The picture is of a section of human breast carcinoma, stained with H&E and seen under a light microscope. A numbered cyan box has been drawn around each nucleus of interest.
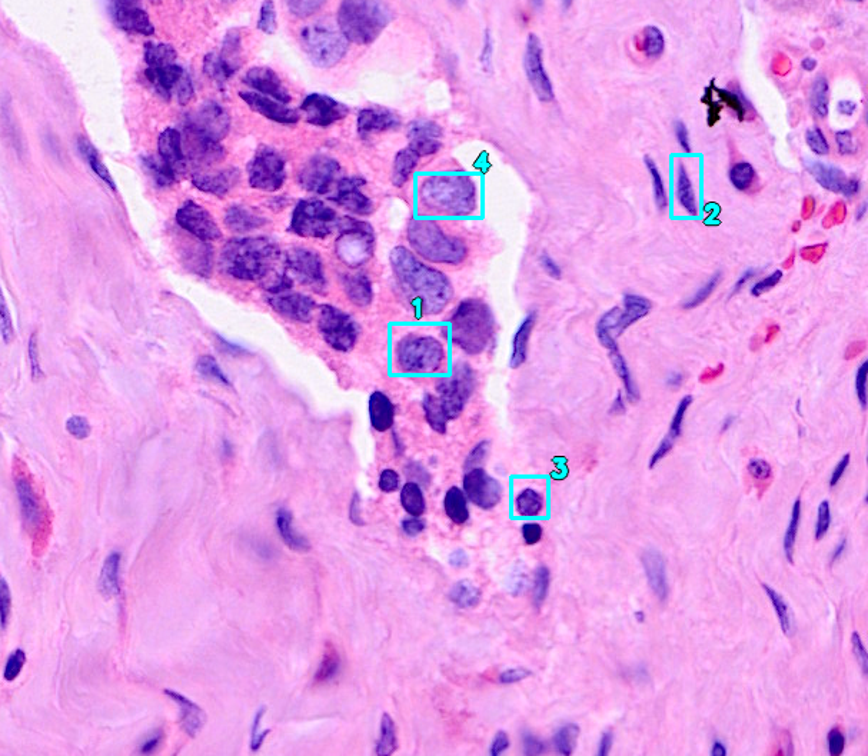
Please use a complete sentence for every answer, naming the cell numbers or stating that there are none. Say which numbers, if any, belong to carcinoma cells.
The cells numbered 1 and 4 are, by type, carcinoma cells.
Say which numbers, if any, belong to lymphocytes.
There is just one numbered cell that is a lymphocyte, and it is cell 3.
